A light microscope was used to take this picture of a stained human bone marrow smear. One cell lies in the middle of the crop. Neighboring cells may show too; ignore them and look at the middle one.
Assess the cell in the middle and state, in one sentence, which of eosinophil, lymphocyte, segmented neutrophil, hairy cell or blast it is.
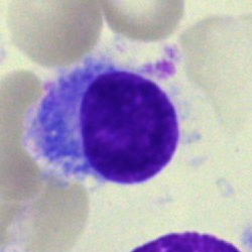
The cell shown in the center of this light-microscope crop is a hairy cell.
